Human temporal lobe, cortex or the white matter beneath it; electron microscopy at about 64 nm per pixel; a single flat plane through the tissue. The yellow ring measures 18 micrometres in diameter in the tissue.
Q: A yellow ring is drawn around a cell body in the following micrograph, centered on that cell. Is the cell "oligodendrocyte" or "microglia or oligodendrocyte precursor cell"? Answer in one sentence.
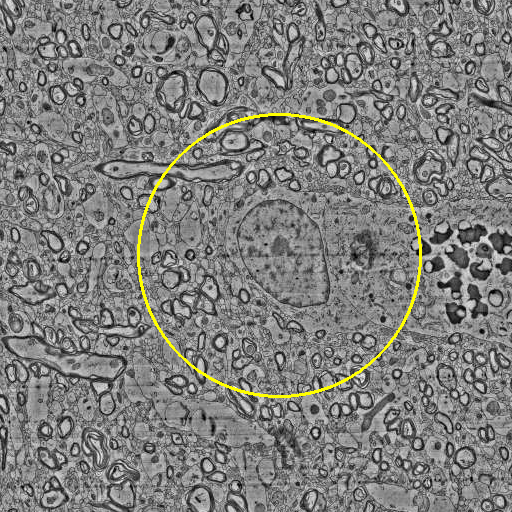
The cell in the center of the ring is a microglial cell or oligodendrocyte precursor cell.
